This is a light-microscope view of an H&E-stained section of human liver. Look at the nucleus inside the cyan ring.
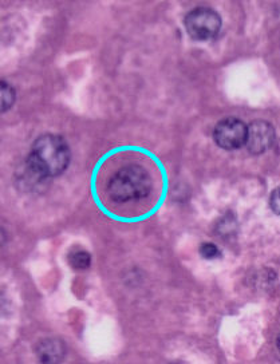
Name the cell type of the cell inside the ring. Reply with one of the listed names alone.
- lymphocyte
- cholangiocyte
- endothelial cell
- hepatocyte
hepatocyte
